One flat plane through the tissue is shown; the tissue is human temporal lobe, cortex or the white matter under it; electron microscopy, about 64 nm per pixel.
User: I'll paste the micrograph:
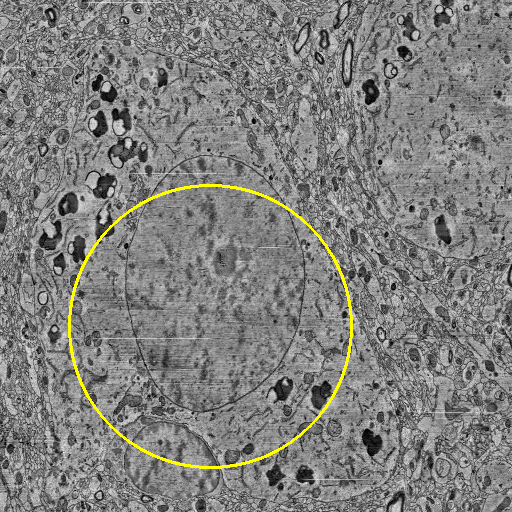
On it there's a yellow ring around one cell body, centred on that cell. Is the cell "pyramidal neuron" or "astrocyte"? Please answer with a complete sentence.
The cell ringed in yellow is a pyramidal neuron.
